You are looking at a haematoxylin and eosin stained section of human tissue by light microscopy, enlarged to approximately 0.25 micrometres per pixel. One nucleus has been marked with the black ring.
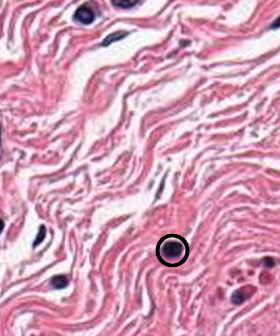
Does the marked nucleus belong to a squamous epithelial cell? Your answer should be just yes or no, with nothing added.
no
